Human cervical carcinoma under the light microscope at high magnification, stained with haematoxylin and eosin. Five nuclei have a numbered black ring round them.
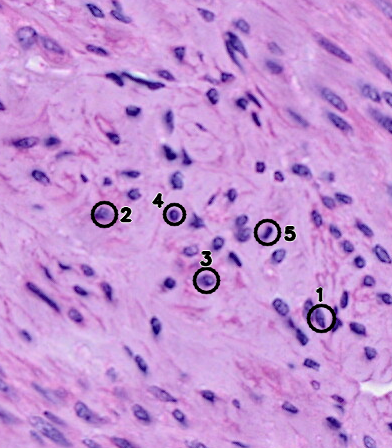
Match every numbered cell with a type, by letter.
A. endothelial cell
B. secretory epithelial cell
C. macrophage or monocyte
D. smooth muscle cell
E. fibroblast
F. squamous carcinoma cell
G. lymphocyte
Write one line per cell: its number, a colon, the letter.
1: E
2: D
3: D
4: E
5: E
